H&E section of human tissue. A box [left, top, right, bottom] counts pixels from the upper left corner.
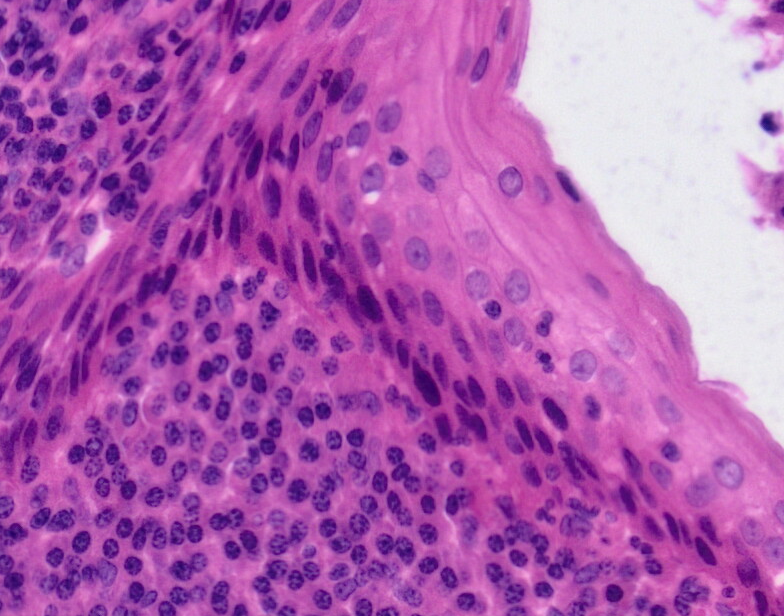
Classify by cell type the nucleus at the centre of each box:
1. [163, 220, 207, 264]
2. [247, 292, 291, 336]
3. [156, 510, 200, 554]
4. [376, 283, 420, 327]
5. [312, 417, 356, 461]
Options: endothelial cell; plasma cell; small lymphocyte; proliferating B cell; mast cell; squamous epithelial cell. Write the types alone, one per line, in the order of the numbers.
squamous epithelial cell
plasma cell
plasma cell
squamous epithelial cell
plasma cell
